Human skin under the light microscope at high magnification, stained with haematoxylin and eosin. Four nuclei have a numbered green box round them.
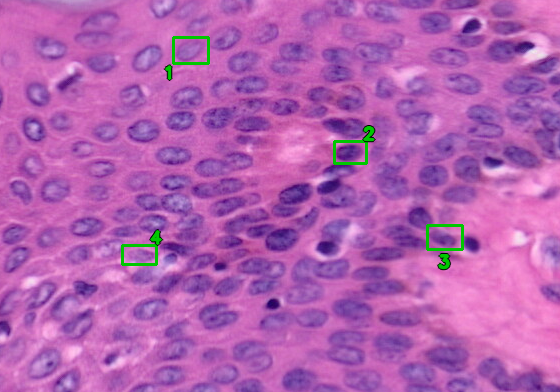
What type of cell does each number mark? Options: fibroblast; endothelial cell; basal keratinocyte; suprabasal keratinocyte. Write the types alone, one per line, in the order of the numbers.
suprabasal keratinocyte
basal keratinocyte
basal keratinocyte
basal keratinocyte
